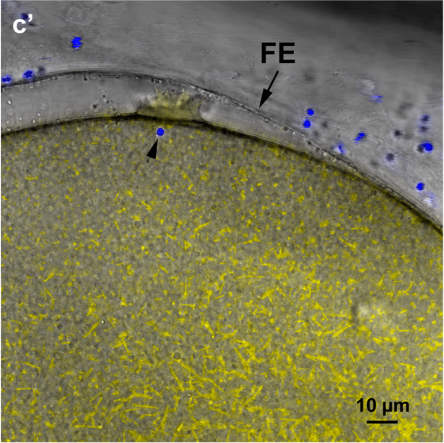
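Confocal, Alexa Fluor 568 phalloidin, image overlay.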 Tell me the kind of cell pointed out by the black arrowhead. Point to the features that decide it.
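Sperm. A small round blue dot lies right at the egg surface. Many similar blue dots lie scattered outside the egg beyond the envelope.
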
